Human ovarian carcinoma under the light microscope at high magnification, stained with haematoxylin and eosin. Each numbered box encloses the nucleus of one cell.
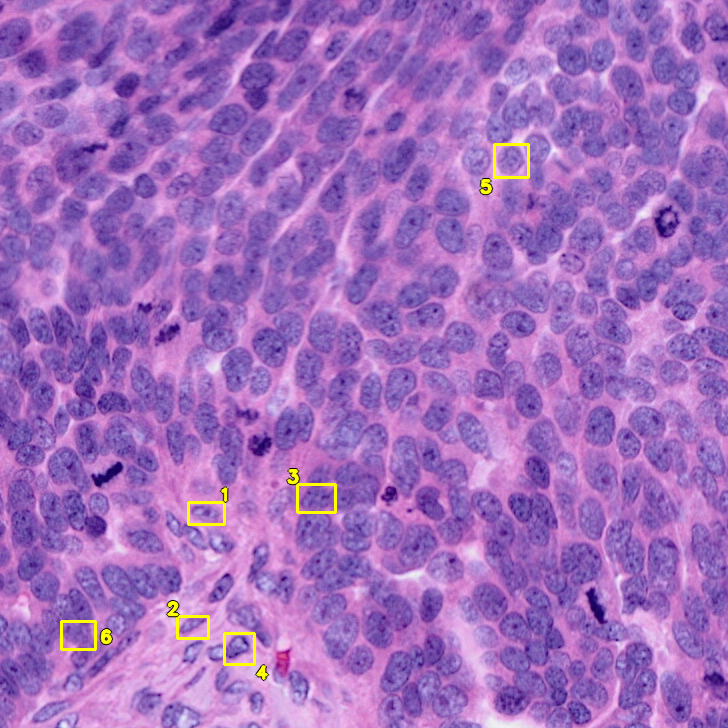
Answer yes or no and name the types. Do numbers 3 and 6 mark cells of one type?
Yes, the two numbered cells, 3 and 6, are both carcinoma cells.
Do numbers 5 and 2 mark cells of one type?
No, cell 5 is categorized as a carcinoma cell, while cell 2 is categorized as a fibroblast.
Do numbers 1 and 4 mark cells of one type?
No, as to type, cell 1 is a fibroblast, and cell 4 is an endothelial cell.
